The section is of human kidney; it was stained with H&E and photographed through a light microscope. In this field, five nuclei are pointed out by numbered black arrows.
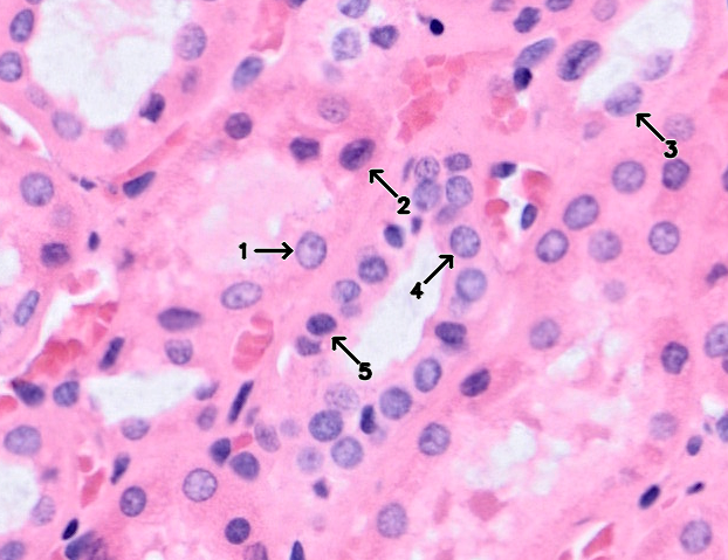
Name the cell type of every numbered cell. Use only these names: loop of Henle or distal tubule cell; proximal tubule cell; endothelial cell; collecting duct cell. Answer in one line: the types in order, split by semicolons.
proximal tubule cell; proximal tubule cell; loop of Henle or distal tubule cell; collecting duct cell; collecting duct cell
